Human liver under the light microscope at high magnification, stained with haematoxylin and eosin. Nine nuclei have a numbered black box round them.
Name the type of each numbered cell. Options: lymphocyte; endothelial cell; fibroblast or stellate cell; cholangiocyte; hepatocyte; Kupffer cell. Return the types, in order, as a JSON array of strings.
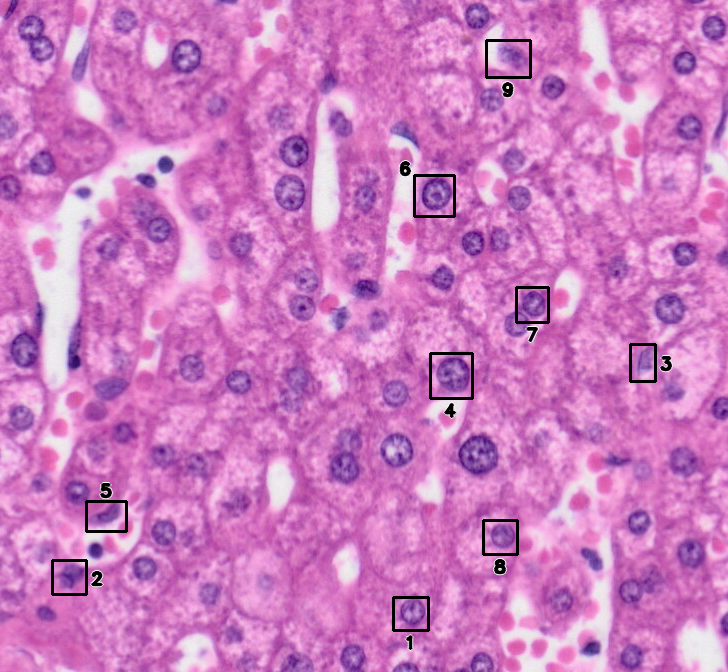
["hepatocyte", "fibroblast or stellate cell", "endothelial cell", "hepatocyte", "Kupffer cell", "hepatocyte", "hepatocyte", "hepatocyte", "Kupffer cell"]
